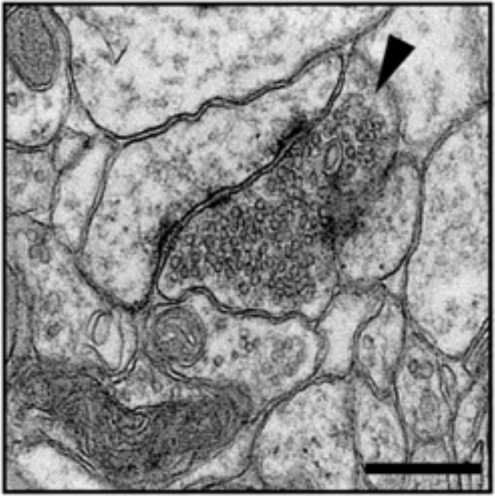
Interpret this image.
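The bouton, at the centre, is densely filled with many small round clear synaptic vesicles, clustered against the membrane where it contacts a neighbouring profile. On the opposite side of the contact a thick, dark postsynaptic density is seen, making the junction asymmetric. Around it lie tightly packed profiles of axons and dendrites bounded by membranes, with pale cytoplasm. Mitochondria with cristae are visible in nearby profiles, including an elongated dark one at lower left and a small myelinated-looking profile below the bouton.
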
